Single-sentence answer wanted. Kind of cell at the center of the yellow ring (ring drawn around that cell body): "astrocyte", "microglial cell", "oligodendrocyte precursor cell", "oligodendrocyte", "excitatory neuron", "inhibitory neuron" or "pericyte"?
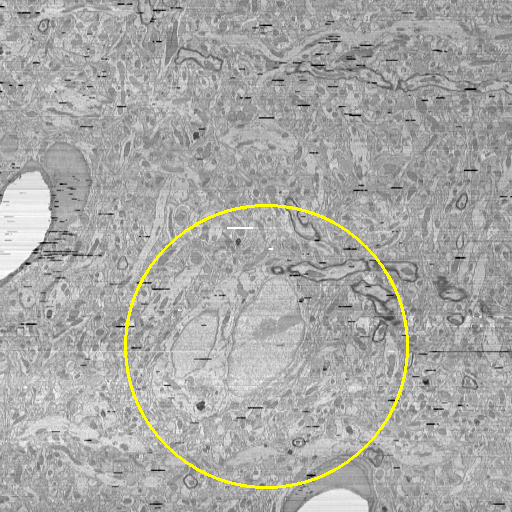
The cell centered in the ring is an oligodendrocyte precursor cell.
